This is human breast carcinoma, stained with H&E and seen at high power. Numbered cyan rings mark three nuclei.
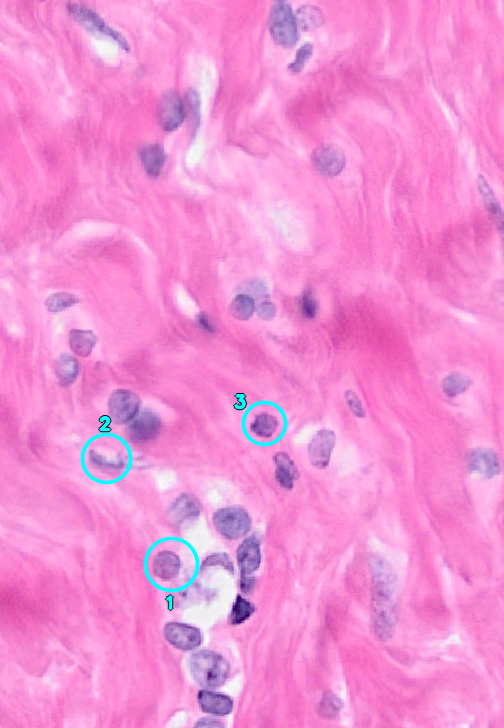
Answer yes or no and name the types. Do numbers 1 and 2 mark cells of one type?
No, mate, cell 1 is a carcinoma cell and cell 2 is a fibroblast.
